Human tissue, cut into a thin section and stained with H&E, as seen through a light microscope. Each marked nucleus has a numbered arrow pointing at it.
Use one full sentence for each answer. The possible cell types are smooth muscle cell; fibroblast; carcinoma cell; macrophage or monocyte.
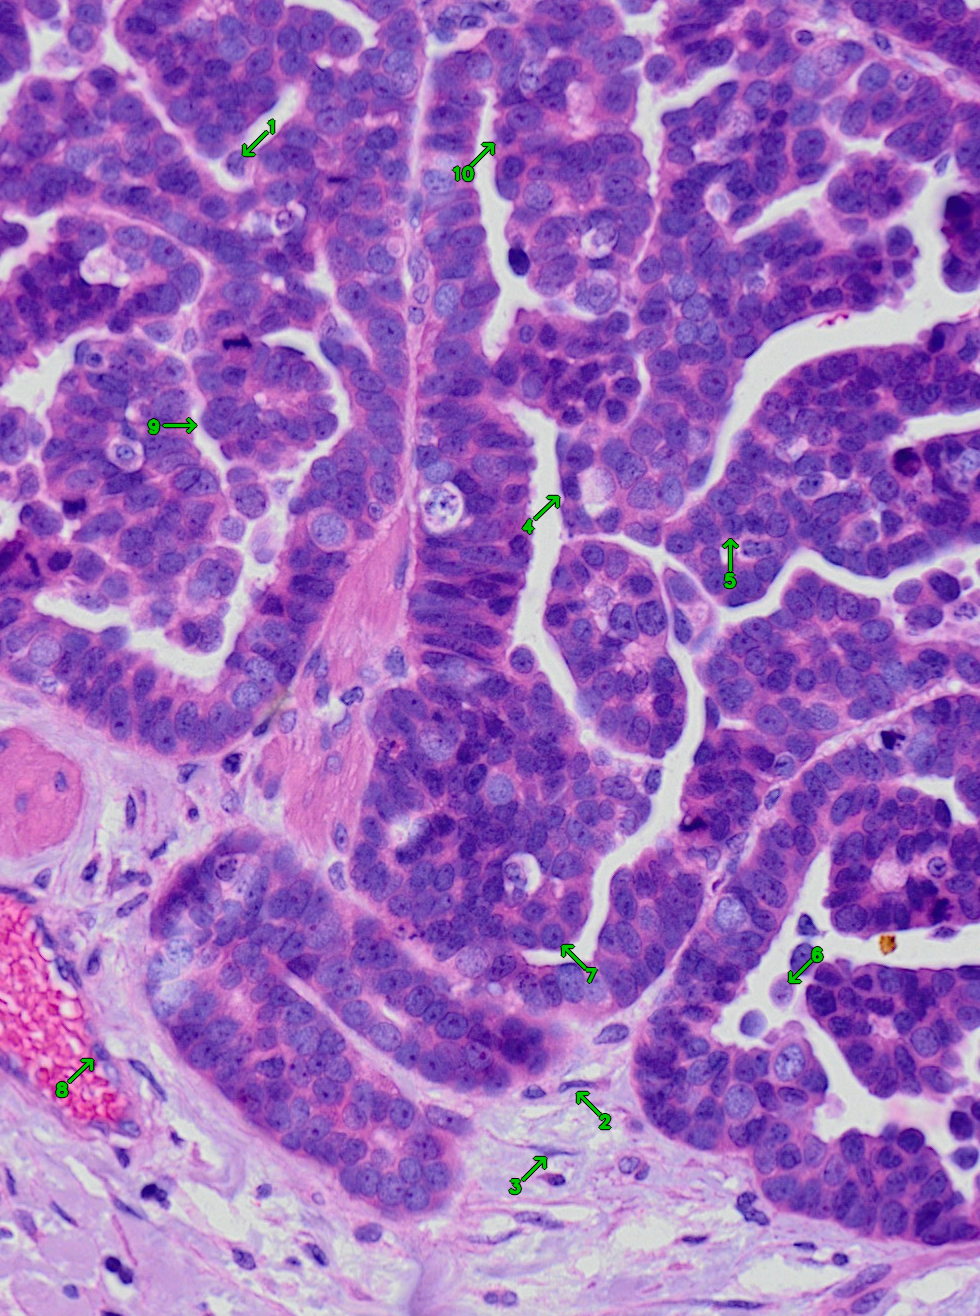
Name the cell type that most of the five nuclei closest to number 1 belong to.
The majority of the five nuclei closest to number 1 belong to carcinoma cells.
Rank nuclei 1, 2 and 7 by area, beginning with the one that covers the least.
By area, going up from the smallest, they rank 2, 1, 7.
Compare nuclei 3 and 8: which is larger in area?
At about 1.5 times the area of nucleus 8, nucleus 3 is the larger of the two.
